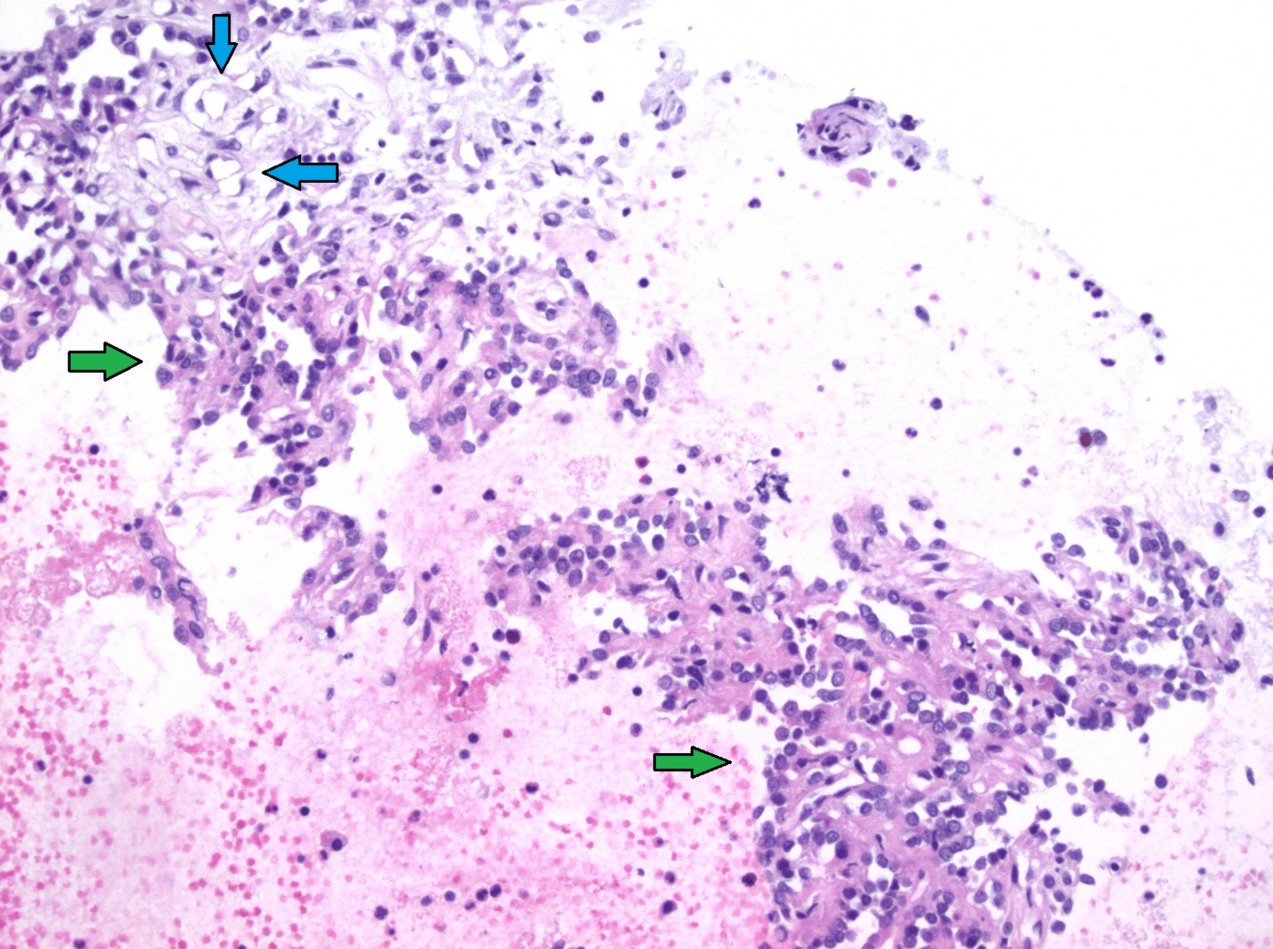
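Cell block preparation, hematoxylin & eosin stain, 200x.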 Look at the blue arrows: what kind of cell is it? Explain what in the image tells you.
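Cells with clear, empty-looking cytoplasmic spaces. They lie within loose pale pink fibrillary stroma.
Vacuolated cells.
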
